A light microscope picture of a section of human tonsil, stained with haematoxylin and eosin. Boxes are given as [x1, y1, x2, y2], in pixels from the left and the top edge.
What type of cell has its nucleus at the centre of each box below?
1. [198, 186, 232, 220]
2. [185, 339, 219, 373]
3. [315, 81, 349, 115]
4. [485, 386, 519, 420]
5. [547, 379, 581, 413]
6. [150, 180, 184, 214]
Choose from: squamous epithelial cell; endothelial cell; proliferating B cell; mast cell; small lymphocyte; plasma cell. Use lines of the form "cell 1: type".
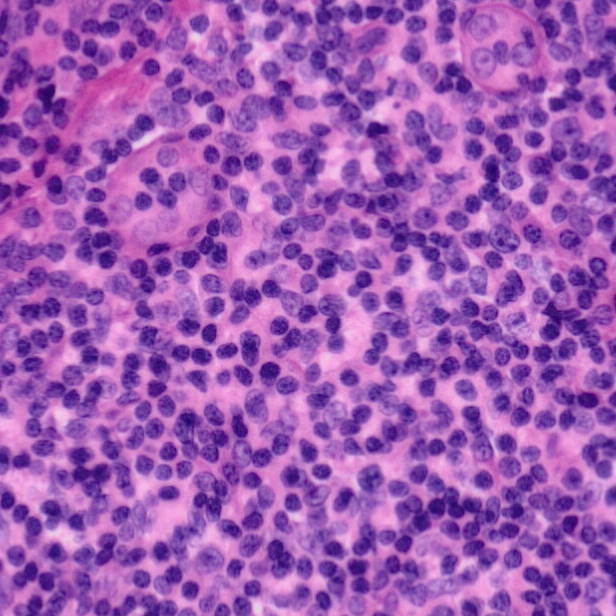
cell 1: endothelial cell
cell 2: small lymphocyte
cell 3: small lymphocyte
cell 4: small lymphocyte
cell 5: small lymphocyte
cell 6: endothelial cell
